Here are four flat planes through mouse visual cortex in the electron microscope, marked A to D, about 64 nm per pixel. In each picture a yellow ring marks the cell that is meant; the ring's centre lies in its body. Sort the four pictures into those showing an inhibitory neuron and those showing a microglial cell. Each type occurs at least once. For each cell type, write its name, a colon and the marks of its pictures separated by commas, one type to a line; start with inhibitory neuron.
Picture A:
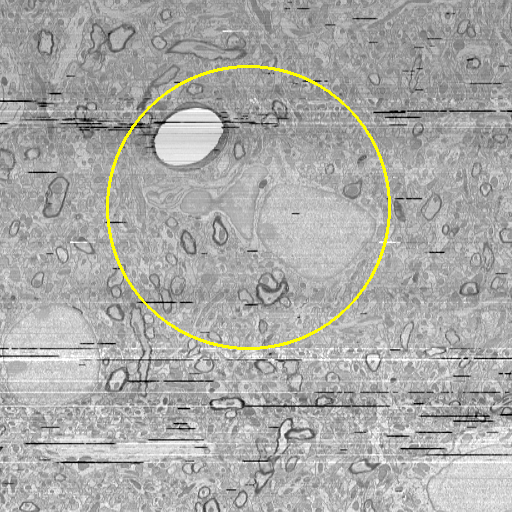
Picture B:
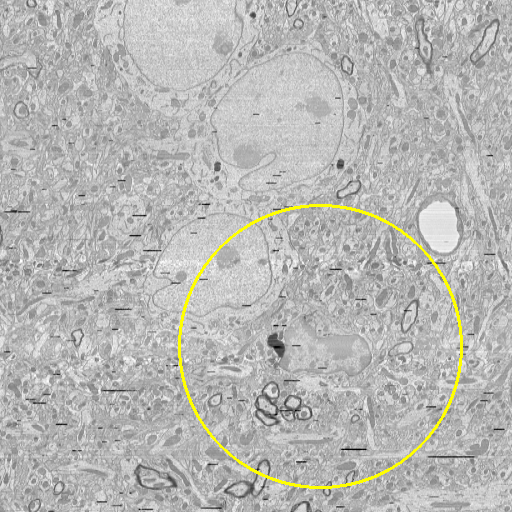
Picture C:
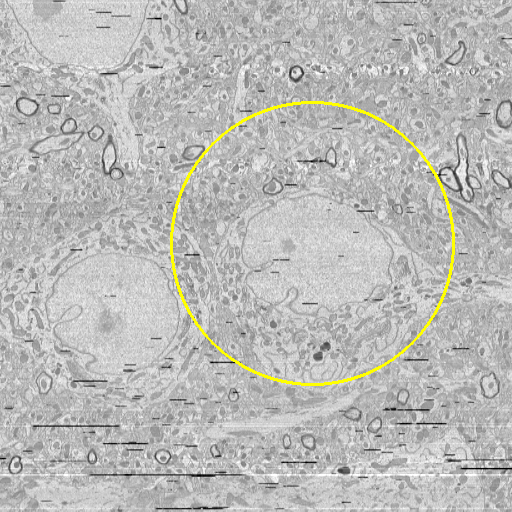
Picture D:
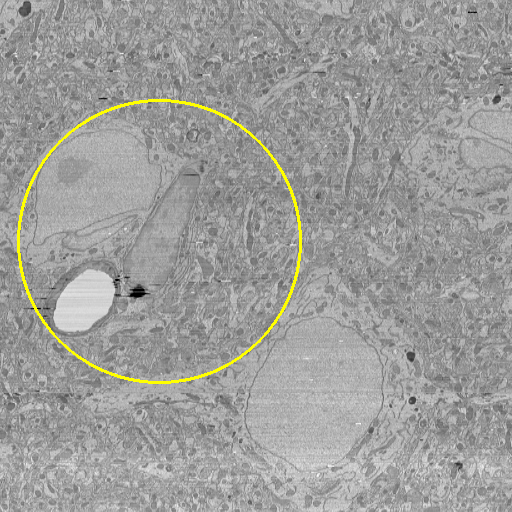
inhibitory neuron: C
microglial cell: A, B, D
